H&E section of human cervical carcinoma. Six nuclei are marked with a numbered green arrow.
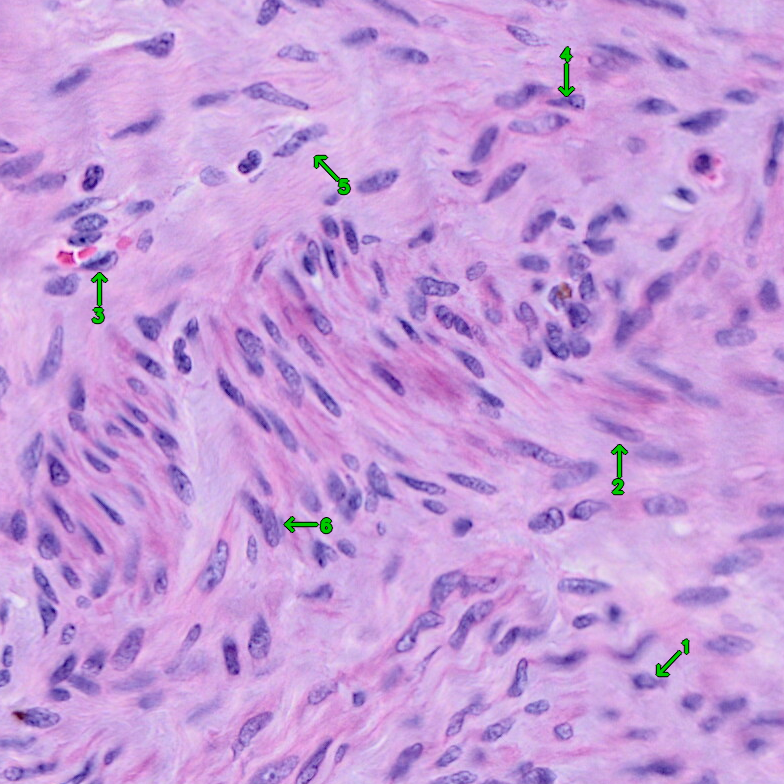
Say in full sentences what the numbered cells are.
Cells 1 and 5 are fibroblasts. Cells 2, 4 and 6 are smooth muscle cells. Cell 3 is an endothelial cell.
